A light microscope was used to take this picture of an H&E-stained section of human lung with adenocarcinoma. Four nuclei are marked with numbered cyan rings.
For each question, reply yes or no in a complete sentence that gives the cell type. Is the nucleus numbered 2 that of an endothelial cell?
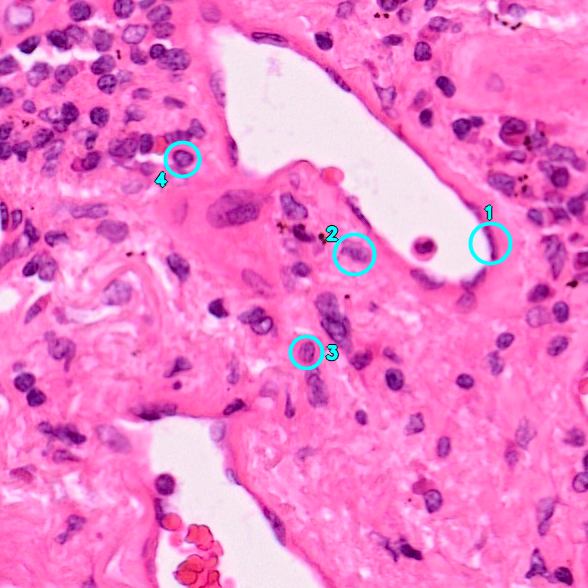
No, for cell 2, the correct identification is a fibroblast instead of an endothelial cell.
